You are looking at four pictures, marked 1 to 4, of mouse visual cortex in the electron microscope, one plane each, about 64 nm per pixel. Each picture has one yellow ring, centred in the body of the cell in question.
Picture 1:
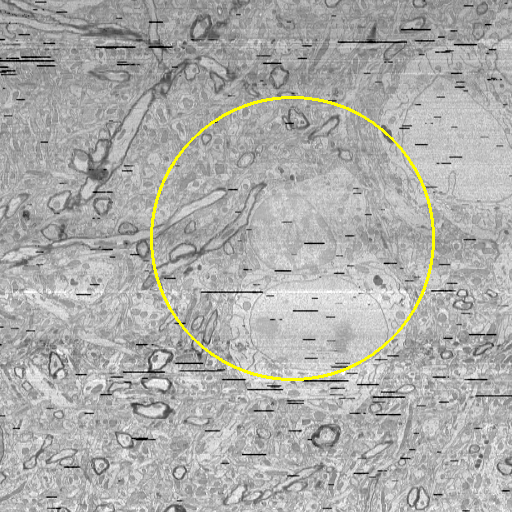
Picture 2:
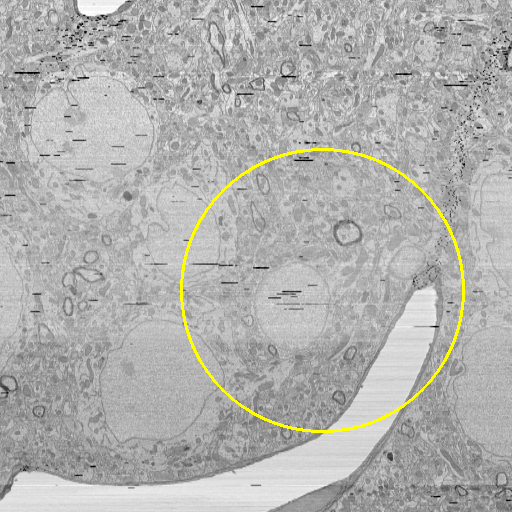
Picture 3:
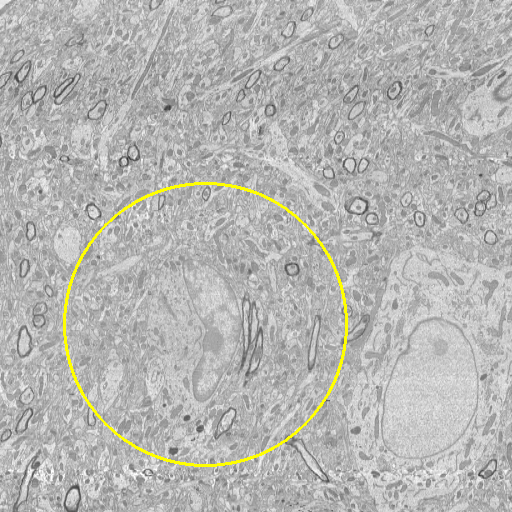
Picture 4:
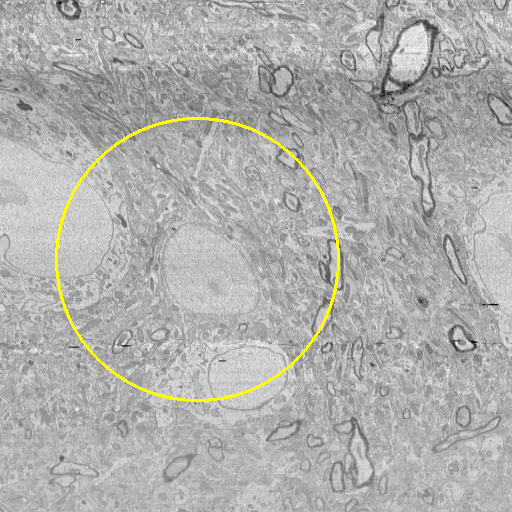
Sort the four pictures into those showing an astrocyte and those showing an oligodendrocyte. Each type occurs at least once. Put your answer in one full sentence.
Pictures 2 and 4 show astrocytes, and pictures 1 and 3 show oligodendrocytes.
